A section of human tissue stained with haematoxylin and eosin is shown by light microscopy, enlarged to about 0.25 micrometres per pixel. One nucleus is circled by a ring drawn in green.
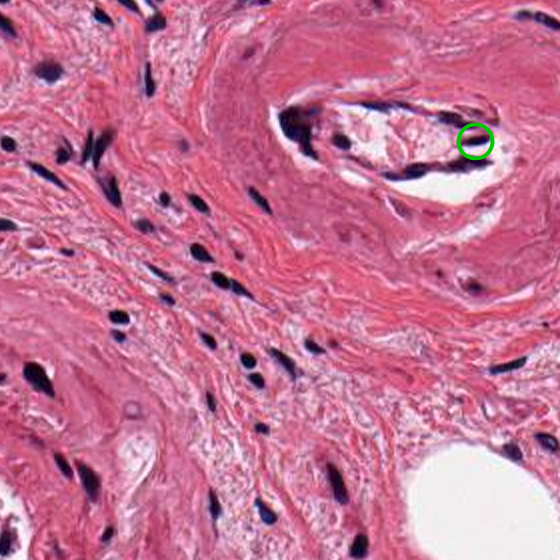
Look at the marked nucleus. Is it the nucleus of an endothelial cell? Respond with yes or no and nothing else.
yes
